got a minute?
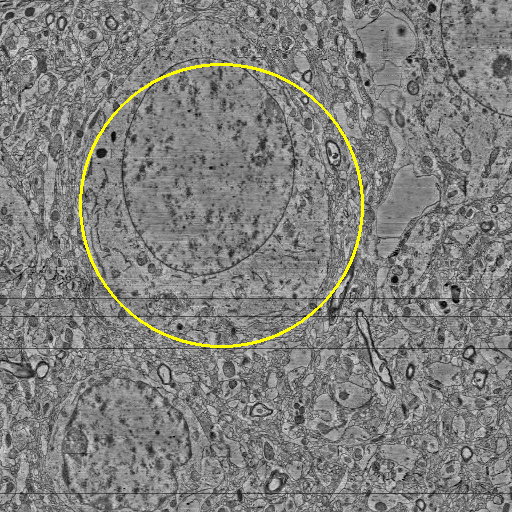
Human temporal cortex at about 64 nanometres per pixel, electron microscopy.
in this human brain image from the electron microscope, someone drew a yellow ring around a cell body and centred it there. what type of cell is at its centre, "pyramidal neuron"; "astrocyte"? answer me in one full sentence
It's a pyramidal neuron at the middle of that yellow ring in the shot.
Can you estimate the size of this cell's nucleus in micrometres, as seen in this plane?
The nucleus comes to roughly 14 by 11 micrometres in this plane.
